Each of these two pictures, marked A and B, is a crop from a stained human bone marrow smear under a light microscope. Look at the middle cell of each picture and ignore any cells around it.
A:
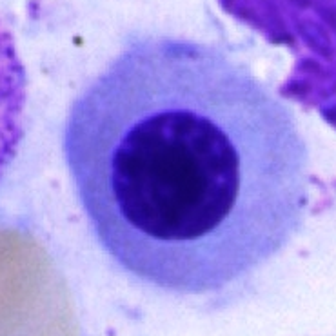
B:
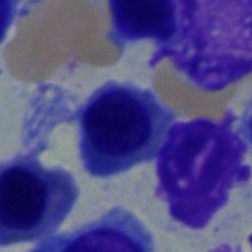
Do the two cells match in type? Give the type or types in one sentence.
Yes, the centre of both crops is taken up by erythroblasts.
